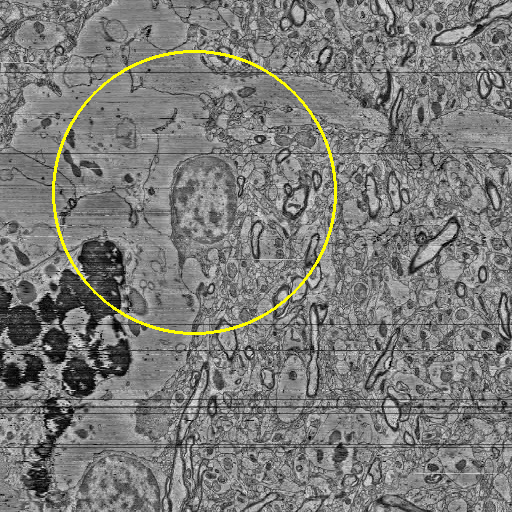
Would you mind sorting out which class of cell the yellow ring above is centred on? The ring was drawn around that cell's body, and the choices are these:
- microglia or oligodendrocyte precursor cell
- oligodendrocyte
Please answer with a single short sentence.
This is the cell body of an oligodendrocyte.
